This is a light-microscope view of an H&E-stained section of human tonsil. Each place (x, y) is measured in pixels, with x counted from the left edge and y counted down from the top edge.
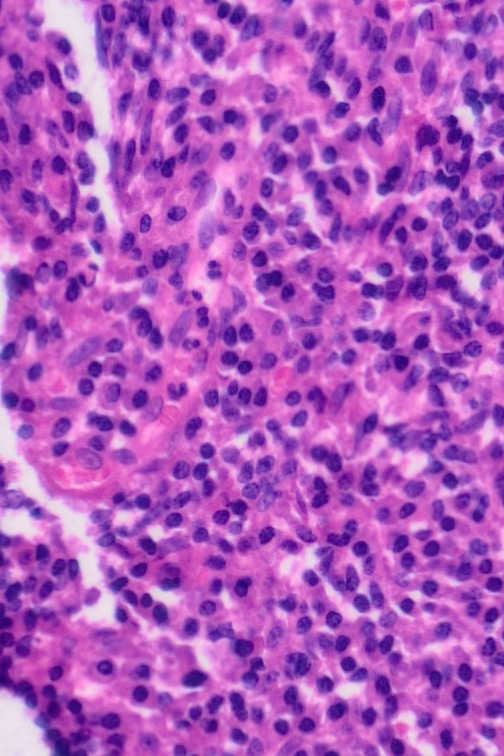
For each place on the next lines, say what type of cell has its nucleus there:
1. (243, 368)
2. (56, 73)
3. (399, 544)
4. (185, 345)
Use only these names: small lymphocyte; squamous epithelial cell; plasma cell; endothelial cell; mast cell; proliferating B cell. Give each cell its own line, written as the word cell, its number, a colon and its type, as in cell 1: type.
cell 1: plasma cell
cell 2: squamous epithelial cell
cell 3: plasma cell
cell 4: endothelial cell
